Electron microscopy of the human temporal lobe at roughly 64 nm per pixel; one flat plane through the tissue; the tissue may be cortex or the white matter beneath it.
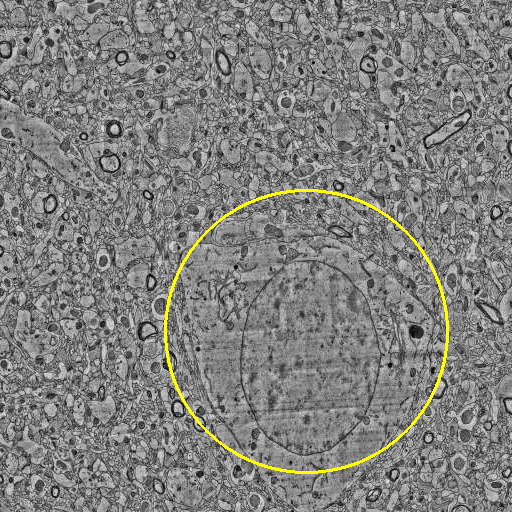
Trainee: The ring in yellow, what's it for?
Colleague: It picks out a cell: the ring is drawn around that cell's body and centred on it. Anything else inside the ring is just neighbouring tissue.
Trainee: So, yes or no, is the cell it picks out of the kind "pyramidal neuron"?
yes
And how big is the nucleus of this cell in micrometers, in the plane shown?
The nucleus is approximately 12 micrometers long by 9 micrometers wide in this plane.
